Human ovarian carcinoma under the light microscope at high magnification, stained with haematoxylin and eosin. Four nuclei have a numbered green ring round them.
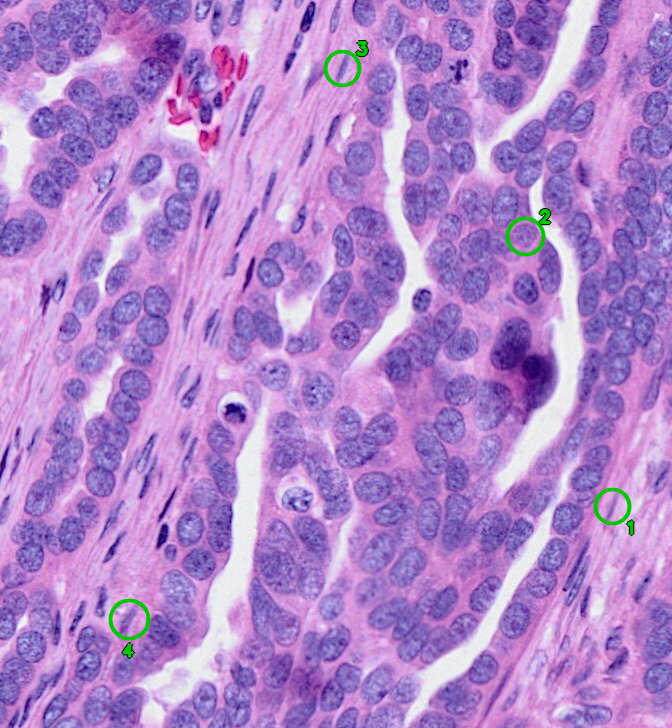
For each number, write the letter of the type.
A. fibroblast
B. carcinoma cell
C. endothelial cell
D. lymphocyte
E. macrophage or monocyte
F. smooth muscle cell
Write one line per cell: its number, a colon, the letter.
1: A
2: B
3: A
4: A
